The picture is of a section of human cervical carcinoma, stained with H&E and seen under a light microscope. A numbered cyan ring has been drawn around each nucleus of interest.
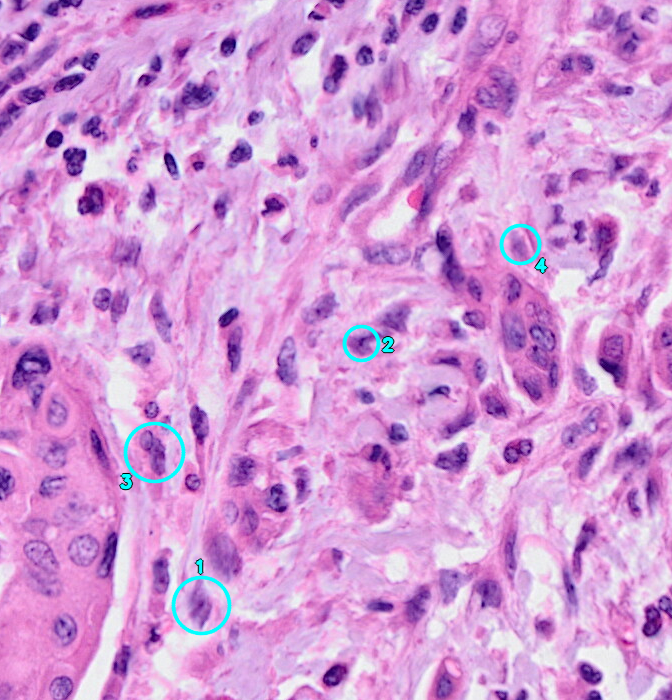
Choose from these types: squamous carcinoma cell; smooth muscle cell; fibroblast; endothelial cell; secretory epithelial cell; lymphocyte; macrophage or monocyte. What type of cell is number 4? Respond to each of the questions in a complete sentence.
Cell 4 of the marked set is a fibroblast.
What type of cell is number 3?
Cell 3 is classified as a macrophage or monocyte.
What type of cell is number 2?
In this section, the cell numbered 2 is a fibroblast.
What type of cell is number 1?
The cell given label 1 is a fibroblast.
